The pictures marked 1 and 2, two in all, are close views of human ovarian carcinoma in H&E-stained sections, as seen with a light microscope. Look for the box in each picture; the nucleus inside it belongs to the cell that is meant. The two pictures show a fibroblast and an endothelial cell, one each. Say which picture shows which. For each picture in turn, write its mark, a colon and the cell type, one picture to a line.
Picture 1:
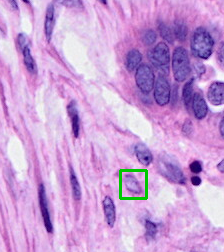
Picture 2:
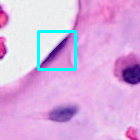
1: fibroblast
2: endothelial cell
